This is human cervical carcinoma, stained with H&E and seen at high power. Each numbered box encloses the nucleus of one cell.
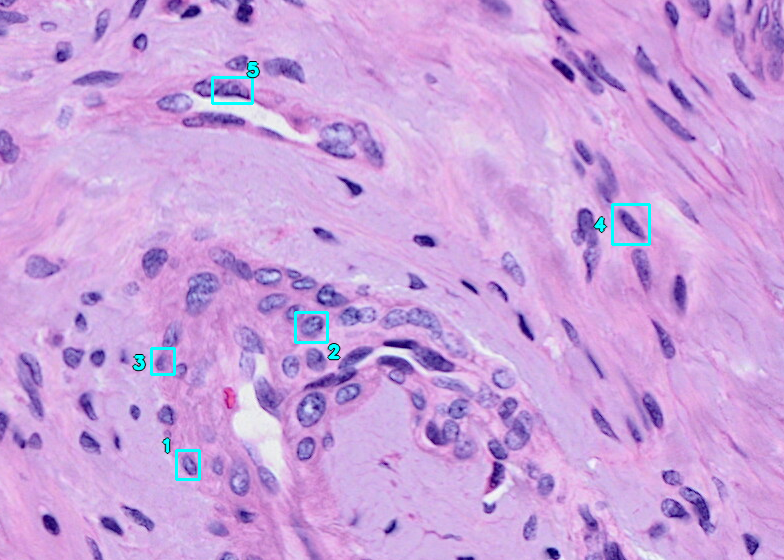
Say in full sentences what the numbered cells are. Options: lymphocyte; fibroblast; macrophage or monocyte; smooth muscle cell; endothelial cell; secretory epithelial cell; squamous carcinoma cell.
Cell 1 is a smooth muscle cell, cell 2 is a smooth muscle cell, cell 3 is a smooth muscle cell, cell 4 is a fibroblast and cell 5 is an endothelial cell.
